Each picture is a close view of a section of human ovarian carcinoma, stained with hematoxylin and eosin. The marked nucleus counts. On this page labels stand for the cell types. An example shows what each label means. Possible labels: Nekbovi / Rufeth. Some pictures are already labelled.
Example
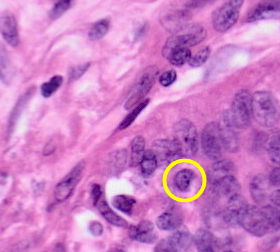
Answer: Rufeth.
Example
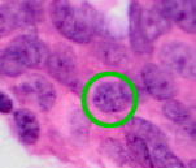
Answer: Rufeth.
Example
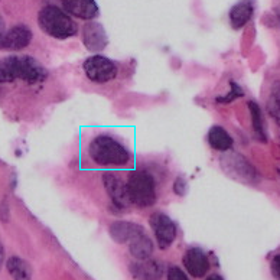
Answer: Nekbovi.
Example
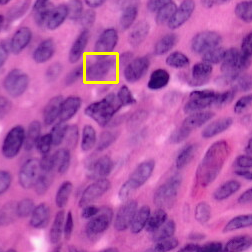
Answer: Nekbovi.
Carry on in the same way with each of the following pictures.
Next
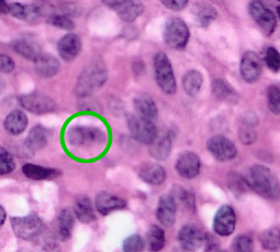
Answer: Rufeth.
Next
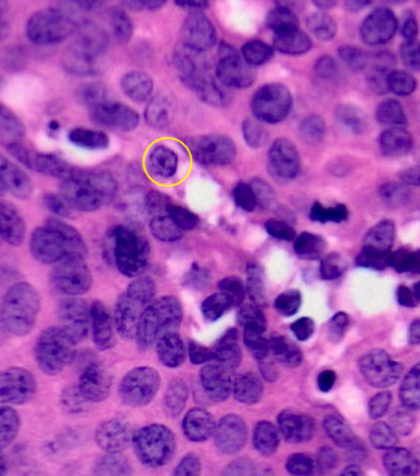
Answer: Rufeth.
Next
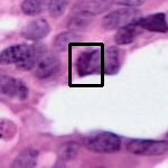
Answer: Nekbovi.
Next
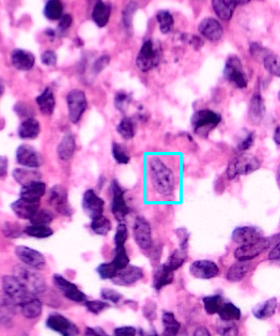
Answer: Rufeth.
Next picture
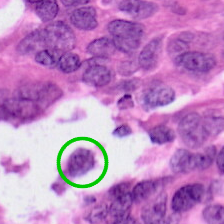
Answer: Nekbovi.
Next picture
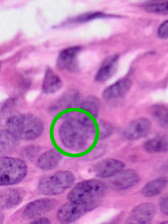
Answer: Nekbovi.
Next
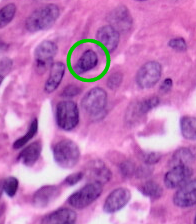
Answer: Rufeth.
